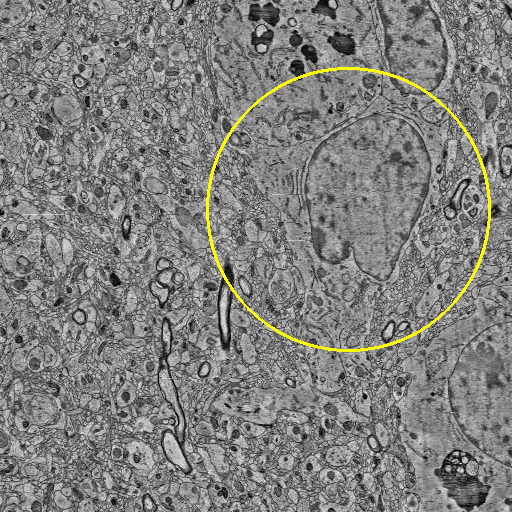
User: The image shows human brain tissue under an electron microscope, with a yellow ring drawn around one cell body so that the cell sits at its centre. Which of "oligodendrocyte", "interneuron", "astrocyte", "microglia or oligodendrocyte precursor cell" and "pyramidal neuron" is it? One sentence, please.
At the centre of the ring sits a microglial cell or oligodendrocyte precursor cell.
